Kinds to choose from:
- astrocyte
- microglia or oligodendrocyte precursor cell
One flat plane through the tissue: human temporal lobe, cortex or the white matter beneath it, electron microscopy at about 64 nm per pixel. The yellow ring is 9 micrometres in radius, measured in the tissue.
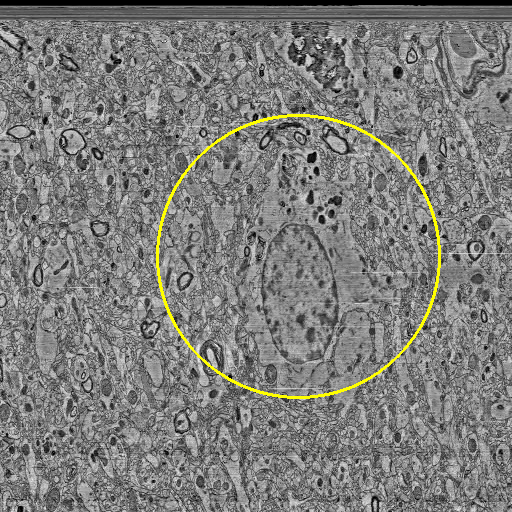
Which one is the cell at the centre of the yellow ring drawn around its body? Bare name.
astrocyte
